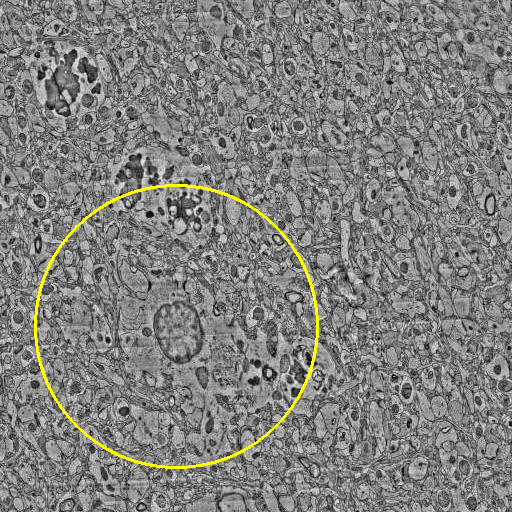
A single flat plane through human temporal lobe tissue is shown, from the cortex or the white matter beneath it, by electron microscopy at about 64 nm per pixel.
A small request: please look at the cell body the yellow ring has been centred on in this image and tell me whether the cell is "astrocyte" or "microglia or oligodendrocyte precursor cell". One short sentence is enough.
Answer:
The cell marked by the ring is an astrocyte.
